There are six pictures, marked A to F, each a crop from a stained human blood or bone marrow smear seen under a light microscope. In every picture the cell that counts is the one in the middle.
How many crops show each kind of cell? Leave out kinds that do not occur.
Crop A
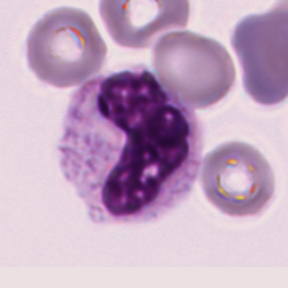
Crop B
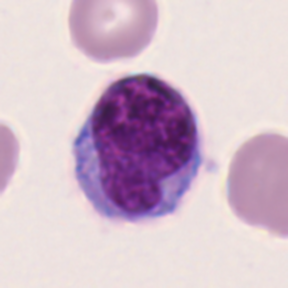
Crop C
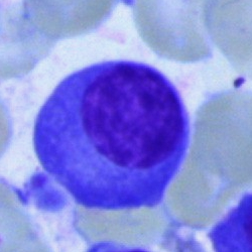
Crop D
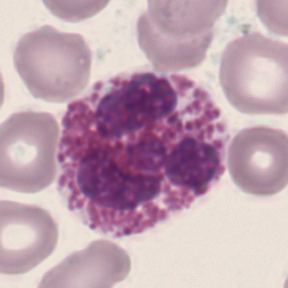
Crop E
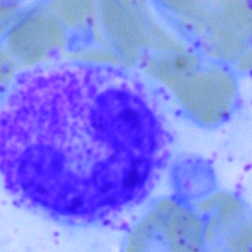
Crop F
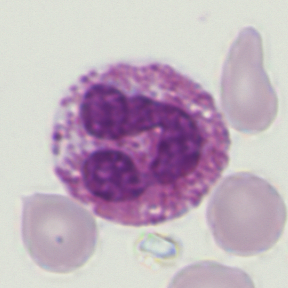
band neutrophil: 2
plasma cell: 2
eosinophil: 2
